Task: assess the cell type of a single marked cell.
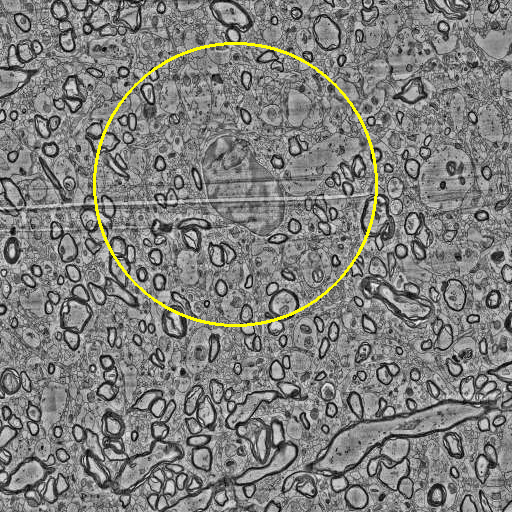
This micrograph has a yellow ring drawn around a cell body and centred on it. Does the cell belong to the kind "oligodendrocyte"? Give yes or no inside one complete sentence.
No, the marked cell at the centre of the ring belongs to another kind.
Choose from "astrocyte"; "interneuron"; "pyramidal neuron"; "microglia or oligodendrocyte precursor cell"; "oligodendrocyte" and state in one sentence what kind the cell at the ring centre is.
In this picture, the ring is centred on a microglial cell or oligodendrocyte precursor cell.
